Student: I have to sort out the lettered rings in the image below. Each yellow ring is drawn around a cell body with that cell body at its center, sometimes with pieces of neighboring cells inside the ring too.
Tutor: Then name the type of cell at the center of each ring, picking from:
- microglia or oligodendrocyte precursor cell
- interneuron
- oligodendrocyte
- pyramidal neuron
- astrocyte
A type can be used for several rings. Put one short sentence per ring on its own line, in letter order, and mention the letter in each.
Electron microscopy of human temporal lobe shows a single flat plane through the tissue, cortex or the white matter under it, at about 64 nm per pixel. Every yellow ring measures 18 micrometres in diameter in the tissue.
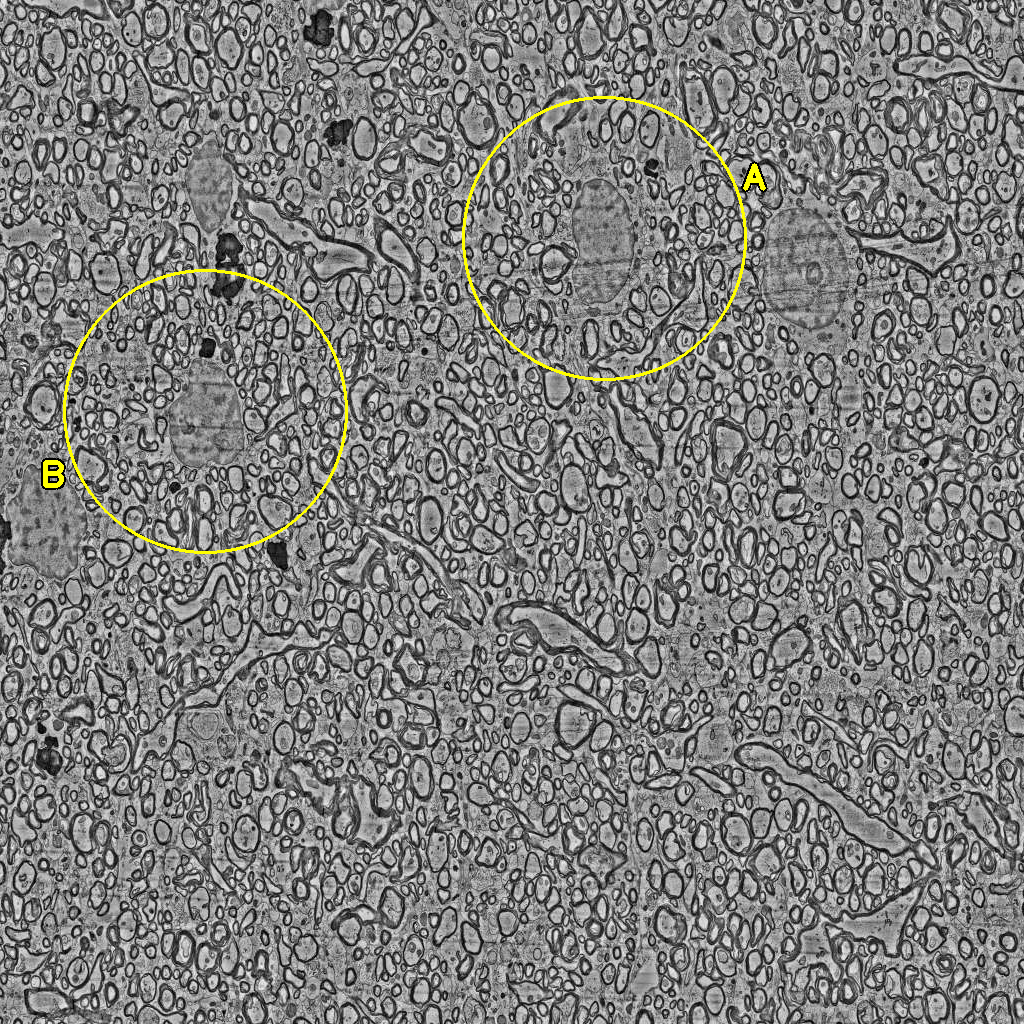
Inside ring A, at its center, is an oligodendrocyte.
Inside ring B, at its center, is an oligodendrocyte.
